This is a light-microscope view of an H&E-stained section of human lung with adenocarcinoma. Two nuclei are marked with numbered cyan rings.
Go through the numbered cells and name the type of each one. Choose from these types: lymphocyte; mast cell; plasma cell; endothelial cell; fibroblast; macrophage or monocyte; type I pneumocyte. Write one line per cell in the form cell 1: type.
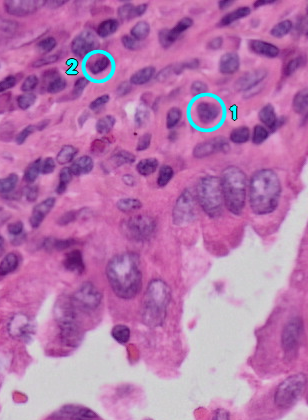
cell 1: lymphocyte
cell 2: plasma cell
